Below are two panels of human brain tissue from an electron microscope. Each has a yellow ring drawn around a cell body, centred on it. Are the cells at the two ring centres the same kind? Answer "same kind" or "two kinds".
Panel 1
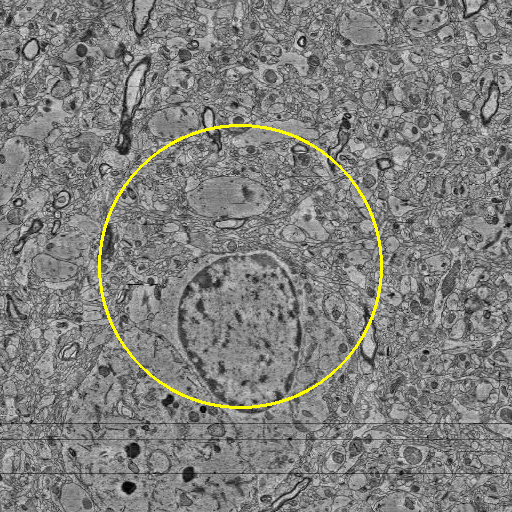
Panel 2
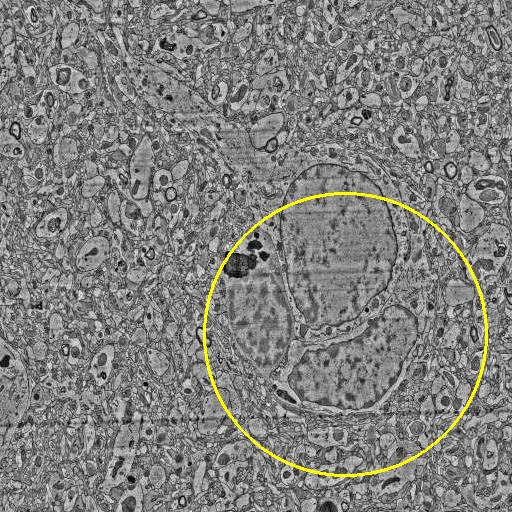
same kind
